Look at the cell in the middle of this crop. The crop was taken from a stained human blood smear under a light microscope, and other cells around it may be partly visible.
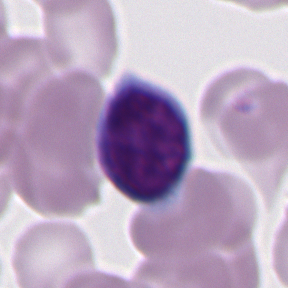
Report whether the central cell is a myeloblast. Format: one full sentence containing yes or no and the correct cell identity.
No, the central cell is not a myeloblast; it is a typical lymphocyte instead.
